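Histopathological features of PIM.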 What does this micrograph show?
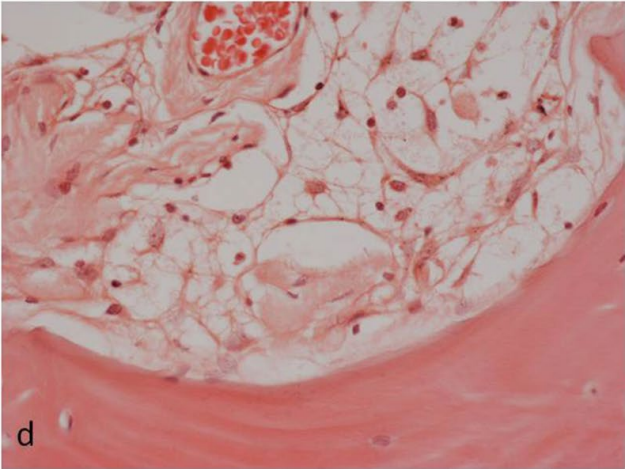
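A space within pink bone is filled by loose tissue with cells that have clear, vacuolated cytoplasm. The cells have small, dark, round to oval nuclei and pale cytoplasm broken into a web of fine pink strands around empty spaces. Some cells appear stellate, with thin processes. A small blood vessel packed with red blood cells lies at the top. Denser pink fibrous strands run along the left side, and the curved edge of homogeneous pink bone borders the space below and at the right.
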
